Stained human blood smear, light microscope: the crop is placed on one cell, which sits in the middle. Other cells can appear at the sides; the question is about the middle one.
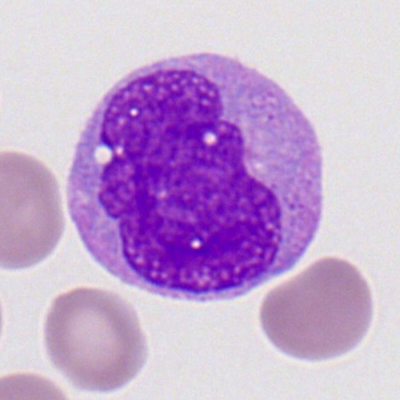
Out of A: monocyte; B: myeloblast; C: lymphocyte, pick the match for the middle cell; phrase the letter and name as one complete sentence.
That middle cell is a monocyte, and option A is therefore correct.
